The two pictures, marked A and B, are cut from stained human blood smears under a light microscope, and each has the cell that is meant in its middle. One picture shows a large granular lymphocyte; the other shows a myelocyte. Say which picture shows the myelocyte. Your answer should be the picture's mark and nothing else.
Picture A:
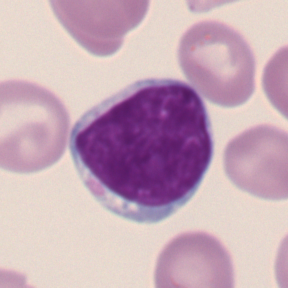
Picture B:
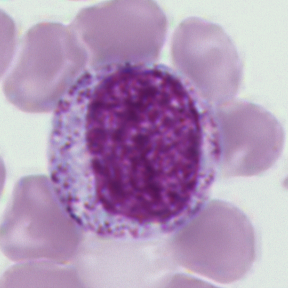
B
